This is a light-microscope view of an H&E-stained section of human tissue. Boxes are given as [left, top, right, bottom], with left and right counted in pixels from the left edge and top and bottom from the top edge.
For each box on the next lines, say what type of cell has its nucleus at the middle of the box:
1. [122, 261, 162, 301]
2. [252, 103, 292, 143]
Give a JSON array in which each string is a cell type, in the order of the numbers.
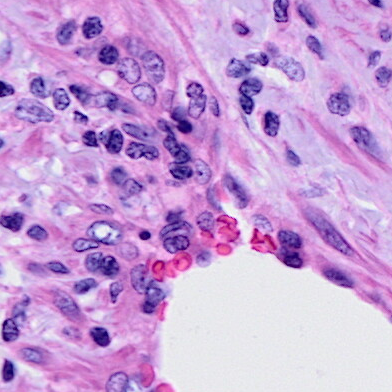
["endothelial cell", "lymphocyte"]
